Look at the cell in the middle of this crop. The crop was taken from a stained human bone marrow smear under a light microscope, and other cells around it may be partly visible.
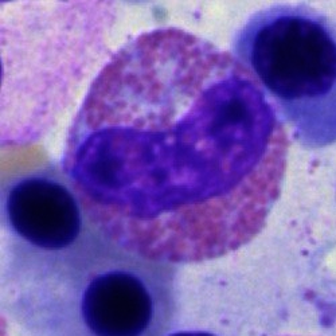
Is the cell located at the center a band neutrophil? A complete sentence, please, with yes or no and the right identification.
No, what the centre of the crop shows is an eosinophil, not a band neutrophil.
